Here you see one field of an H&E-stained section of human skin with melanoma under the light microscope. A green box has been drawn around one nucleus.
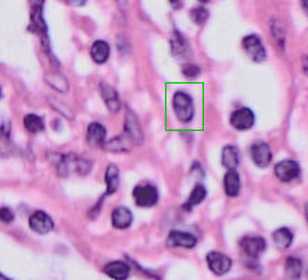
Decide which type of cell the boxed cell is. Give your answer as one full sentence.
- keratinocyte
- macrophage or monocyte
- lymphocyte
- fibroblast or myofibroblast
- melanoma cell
Within the stained tissue, the boxed cell is a lymphocyte.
